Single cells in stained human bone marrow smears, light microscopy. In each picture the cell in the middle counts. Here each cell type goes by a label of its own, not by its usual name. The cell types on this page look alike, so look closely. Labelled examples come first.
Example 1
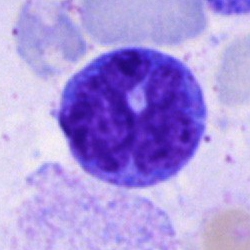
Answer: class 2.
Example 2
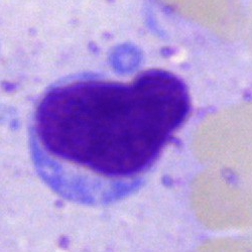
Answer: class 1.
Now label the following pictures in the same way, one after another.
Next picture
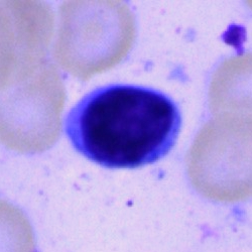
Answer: class 1.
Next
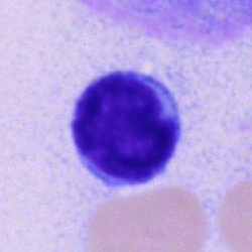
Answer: class 1.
